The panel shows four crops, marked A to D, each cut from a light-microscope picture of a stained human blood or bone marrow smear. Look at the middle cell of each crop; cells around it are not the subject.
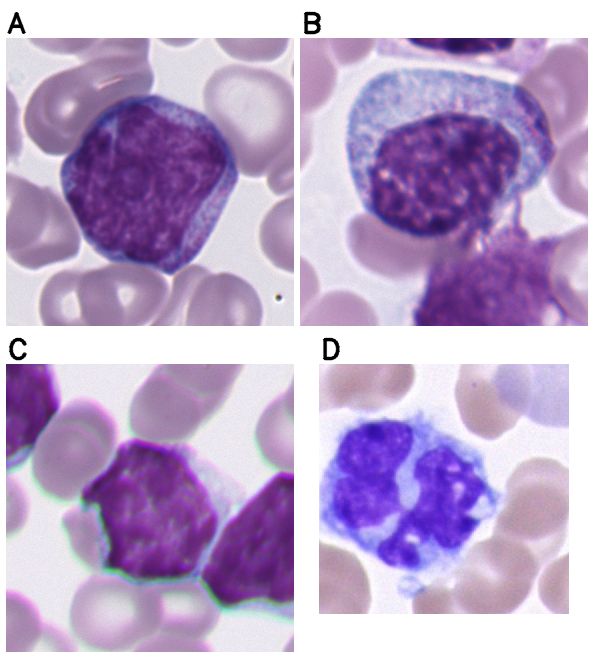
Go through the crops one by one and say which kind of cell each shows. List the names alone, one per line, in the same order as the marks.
promyelocyte
promyelocyte
lymphocyte
monocyte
